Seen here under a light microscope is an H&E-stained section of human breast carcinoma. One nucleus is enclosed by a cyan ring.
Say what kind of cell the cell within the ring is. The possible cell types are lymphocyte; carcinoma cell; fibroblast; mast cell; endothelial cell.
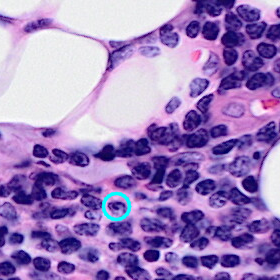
lymphocyte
